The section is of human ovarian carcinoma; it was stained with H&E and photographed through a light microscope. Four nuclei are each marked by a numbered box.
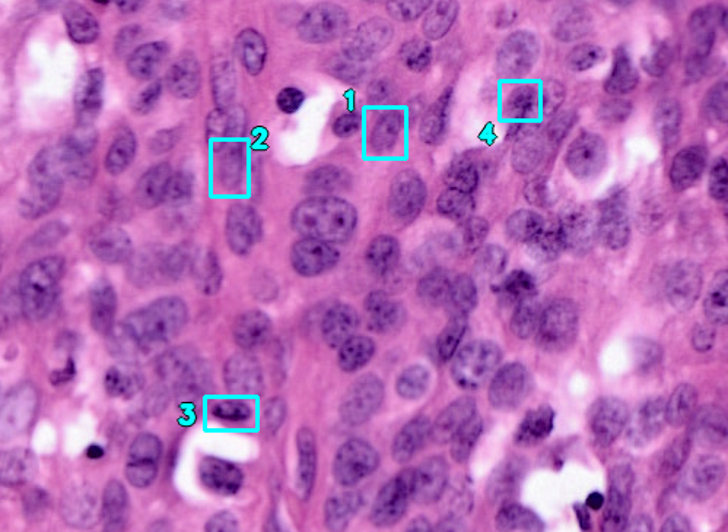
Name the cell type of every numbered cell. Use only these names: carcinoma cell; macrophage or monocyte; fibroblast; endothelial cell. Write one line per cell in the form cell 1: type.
cell 1: carcinoma cell
cell 2: endothelial cell
cell 3: macrophage or monocyte
cell 4: carcinoma cell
